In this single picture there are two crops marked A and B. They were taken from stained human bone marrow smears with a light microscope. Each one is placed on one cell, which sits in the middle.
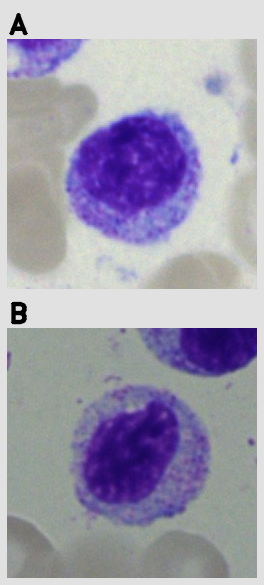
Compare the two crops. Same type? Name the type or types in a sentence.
Yes, as an answer for this item, both crops show myelocytes.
